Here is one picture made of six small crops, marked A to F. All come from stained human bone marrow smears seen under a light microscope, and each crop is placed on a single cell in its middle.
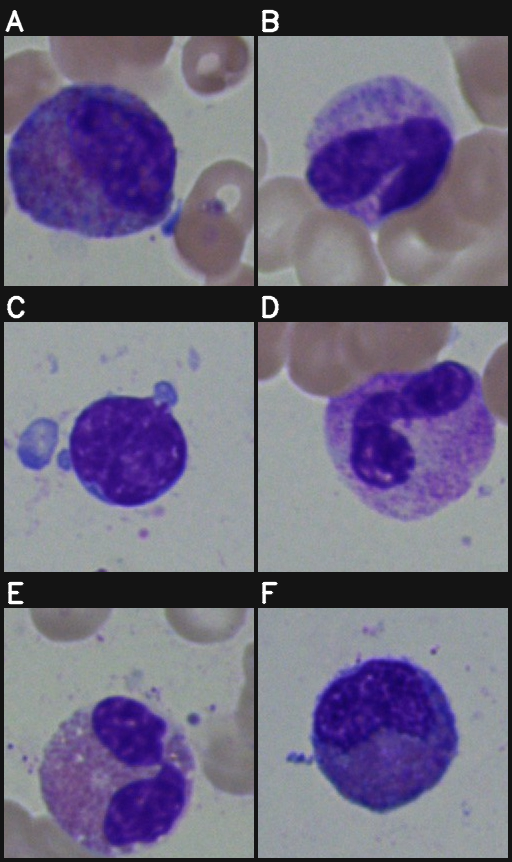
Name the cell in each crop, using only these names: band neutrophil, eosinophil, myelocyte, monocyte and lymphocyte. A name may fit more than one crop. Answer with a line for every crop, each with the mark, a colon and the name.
A: eosinophil
B: band neutrophil
C: lymphocyte
D: band neutrophil
E: eosinophil
F: eosinophil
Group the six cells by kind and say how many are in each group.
eosinophil: 3
band neutrophil: 2
lymphocyte: 1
